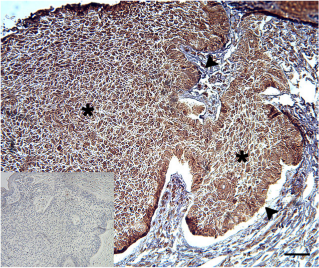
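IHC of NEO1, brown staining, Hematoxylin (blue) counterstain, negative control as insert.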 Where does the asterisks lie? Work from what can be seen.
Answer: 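The asterisks lie in the centre of large, densely cellular nests. The nests are surrounded by paler, looser stroma.
Hence: bulk of tumors.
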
